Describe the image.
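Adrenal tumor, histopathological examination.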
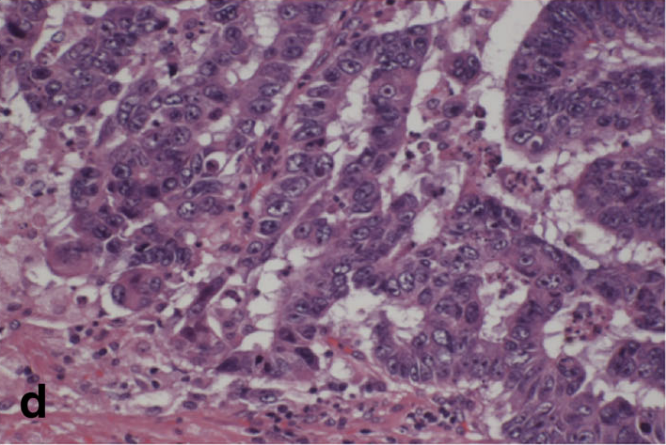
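This is adenocarcinoma at high magnification, made of tall columnar tumour cells that line elongated, branching glandular and tubular structures. The nuclei are large, oval and vesicular, crowded and stratified, and many show a prominent nucleolus; the cytoplasm is pink. The glands lie close together, separated only by narrow pale spaces with scattered small inflammatory cells, and a thin band of pink fibrous stroma runs along the lower edge.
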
